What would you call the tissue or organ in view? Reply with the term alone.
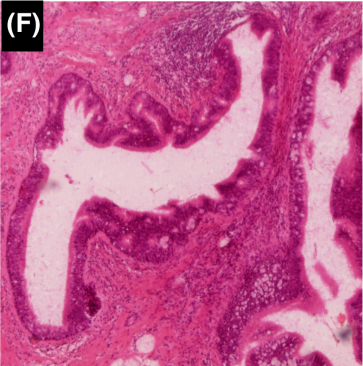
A: Glandular.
